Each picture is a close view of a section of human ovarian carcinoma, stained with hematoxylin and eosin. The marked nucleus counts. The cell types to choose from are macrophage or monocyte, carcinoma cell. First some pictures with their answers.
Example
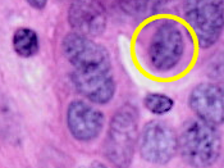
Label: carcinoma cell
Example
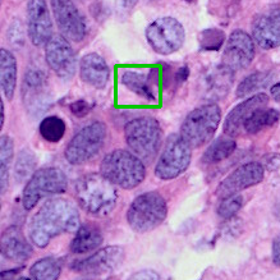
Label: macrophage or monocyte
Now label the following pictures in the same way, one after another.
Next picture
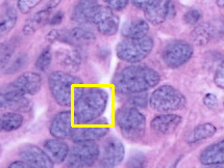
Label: carcinoma cell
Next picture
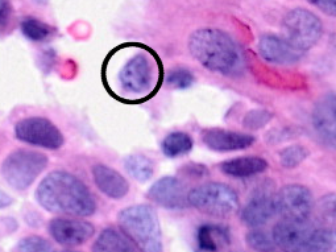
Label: macrophage or monocyte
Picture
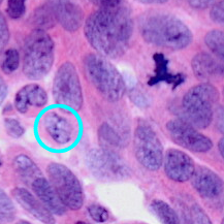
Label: macrophage or monocyte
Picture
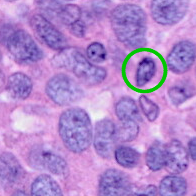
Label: macrophage or monocyte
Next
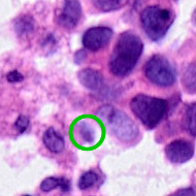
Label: macrophage or monocyte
